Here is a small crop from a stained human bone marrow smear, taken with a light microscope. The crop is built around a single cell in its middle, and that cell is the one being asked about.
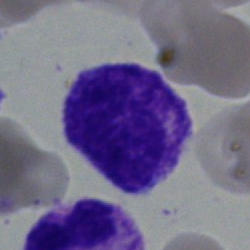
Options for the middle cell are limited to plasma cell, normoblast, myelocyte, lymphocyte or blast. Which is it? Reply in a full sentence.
Classified as a myelocyte is the cell in the middle of this crop.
